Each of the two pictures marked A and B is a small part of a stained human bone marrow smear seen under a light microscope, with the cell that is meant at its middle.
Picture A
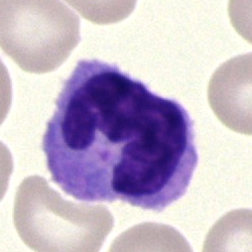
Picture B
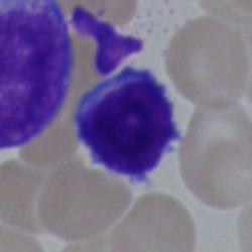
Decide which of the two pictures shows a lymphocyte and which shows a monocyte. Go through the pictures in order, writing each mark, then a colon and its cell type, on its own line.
A: monocyte
B: lymphocyte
